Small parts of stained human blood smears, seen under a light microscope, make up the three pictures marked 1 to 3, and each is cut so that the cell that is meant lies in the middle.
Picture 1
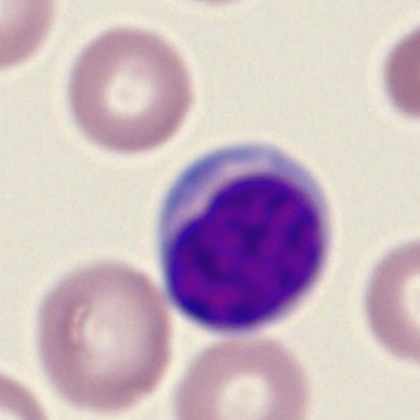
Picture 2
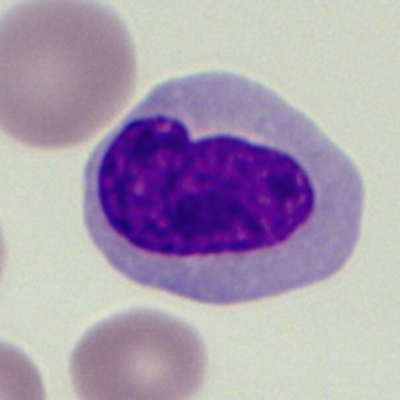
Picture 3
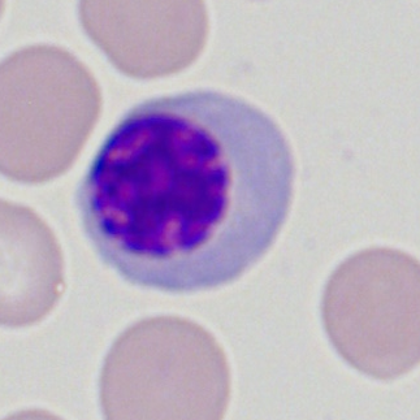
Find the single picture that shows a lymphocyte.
1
